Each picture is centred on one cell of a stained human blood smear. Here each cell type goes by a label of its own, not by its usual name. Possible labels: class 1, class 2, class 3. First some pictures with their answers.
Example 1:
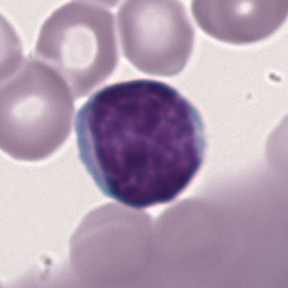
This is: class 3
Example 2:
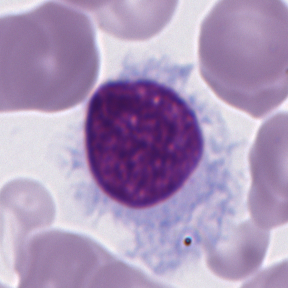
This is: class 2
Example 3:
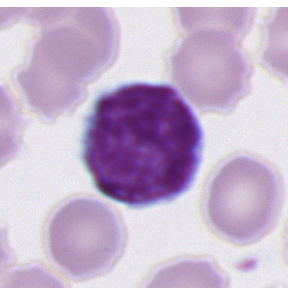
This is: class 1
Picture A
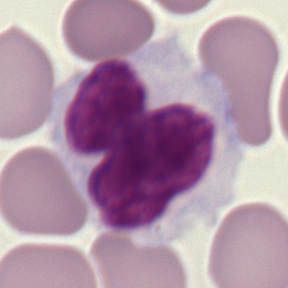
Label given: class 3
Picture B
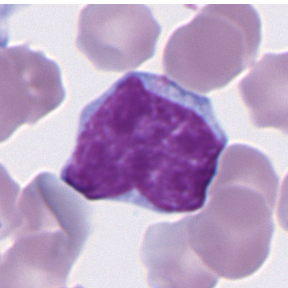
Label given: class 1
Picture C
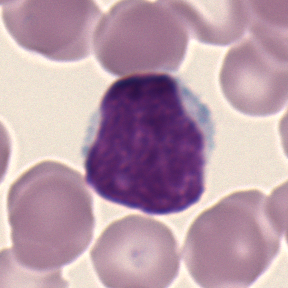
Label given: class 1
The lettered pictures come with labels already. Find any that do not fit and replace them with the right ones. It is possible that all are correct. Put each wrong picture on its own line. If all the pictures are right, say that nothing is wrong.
Wrong: A (class 3); correct: class 2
